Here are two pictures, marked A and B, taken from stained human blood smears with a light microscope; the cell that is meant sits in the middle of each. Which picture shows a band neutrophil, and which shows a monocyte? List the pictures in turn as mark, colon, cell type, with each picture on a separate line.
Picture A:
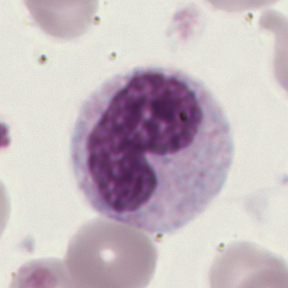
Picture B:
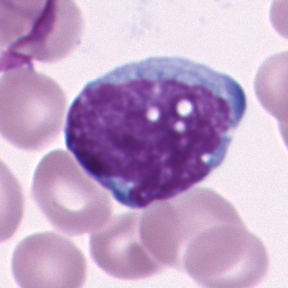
A: band neutrophil
B: monocyte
